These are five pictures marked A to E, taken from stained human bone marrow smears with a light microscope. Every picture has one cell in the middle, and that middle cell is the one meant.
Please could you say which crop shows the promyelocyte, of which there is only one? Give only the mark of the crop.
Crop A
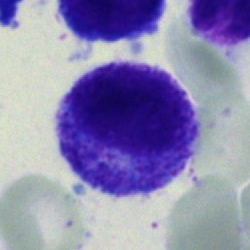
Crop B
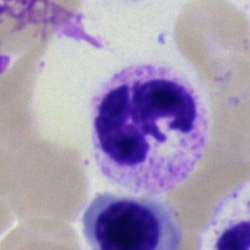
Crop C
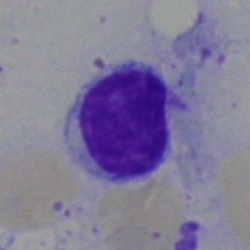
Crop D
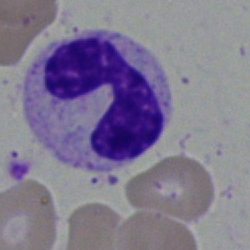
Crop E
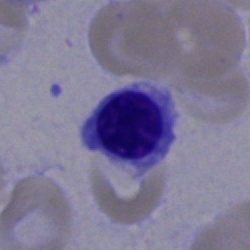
A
